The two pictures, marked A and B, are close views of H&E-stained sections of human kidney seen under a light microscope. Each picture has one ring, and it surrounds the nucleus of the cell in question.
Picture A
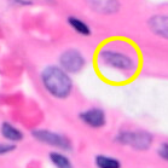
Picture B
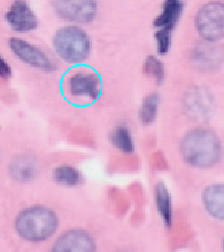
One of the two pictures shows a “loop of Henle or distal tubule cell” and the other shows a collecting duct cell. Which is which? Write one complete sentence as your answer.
Picture A is of a collecting duct cell, and picture B is of a “loop of Henle or distal tubule cell”.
